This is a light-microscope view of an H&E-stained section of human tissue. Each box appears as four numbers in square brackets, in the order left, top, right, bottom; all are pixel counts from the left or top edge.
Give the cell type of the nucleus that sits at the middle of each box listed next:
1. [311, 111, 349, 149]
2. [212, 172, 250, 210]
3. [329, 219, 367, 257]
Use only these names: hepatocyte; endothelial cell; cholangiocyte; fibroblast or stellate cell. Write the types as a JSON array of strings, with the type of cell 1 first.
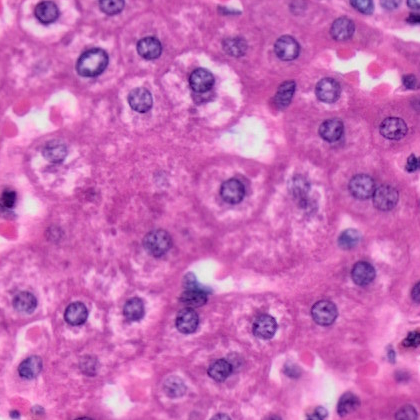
["hepatocyte", "hepatocyte", "endothelial cell"]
